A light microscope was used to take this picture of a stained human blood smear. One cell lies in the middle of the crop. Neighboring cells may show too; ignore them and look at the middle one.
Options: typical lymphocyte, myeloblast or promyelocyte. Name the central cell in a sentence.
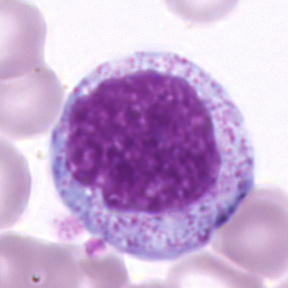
Located at the centre of the crop is a promyelocyte.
